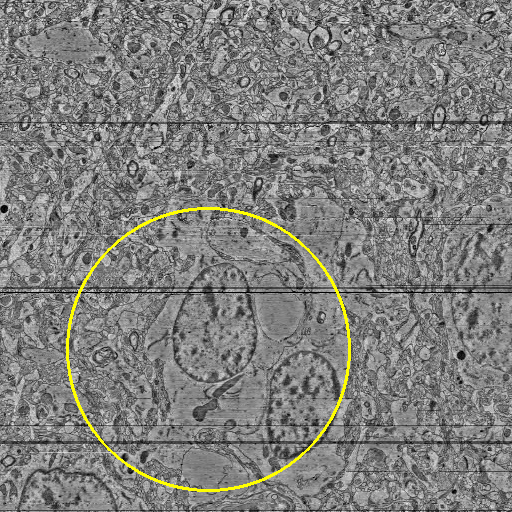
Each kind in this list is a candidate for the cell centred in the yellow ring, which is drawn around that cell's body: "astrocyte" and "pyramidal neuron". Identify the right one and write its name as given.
astrocyte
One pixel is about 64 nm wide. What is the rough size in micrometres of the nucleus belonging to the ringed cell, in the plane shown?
Roughly 8 by 5 micrometers, clearly longer than it is wide in this plane.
